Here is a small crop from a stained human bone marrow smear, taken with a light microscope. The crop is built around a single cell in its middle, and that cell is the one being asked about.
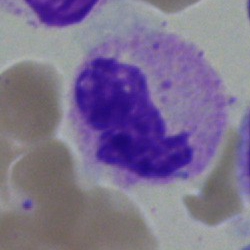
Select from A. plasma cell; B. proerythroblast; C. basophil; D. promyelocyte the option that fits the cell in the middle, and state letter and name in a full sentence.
As the central cell is a basophil, option C is correct.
